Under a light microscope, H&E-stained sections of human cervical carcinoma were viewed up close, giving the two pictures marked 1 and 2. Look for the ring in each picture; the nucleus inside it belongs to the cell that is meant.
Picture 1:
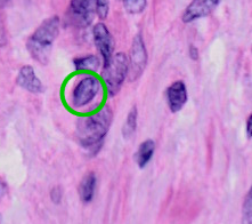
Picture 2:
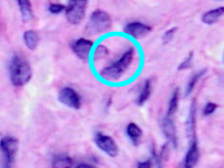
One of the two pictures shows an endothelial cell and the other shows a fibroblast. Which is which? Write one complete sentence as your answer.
The cell in picture 1 is an endothelial cell, and the one in picture 2 is a fibroblast.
